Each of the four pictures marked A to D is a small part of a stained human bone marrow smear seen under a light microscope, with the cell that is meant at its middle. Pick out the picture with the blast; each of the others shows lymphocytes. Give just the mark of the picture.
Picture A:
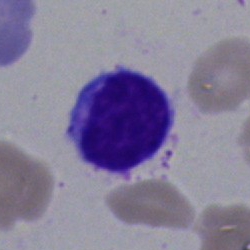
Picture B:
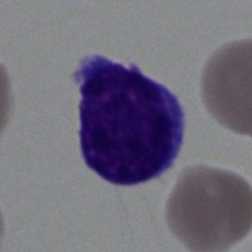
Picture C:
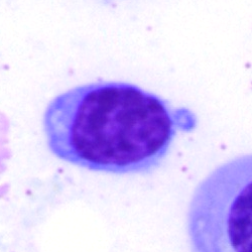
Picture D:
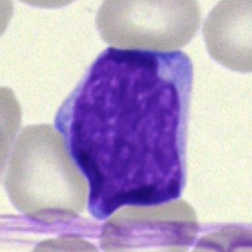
D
